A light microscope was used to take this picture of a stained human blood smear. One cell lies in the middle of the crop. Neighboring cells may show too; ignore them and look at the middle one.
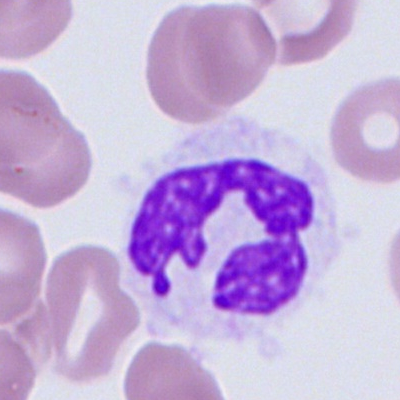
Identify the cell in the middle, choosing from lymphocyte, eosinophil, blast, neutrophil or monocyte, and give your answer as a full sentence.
The cell centred in this crop is categorized as a neutrophil.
